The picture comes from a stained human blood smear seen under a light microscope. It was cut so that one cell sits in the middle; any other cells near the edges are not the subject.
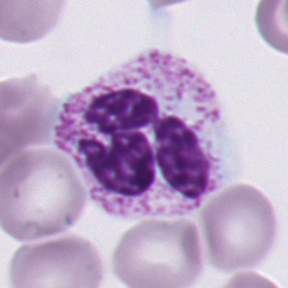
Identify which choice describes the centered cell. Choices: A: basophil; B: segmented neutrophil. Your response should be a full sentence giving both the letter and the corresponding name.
In this crop the middle cell is a segmented neutrophil, so option B is the correct answer.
